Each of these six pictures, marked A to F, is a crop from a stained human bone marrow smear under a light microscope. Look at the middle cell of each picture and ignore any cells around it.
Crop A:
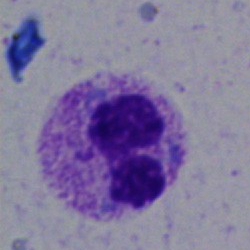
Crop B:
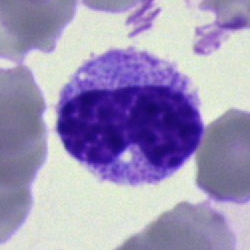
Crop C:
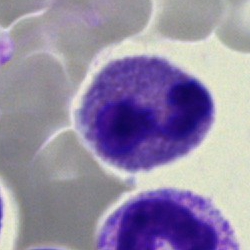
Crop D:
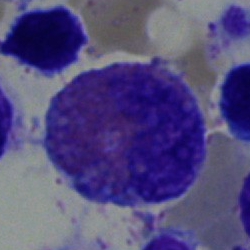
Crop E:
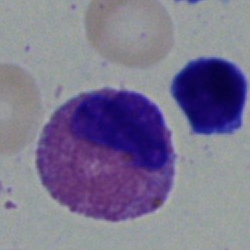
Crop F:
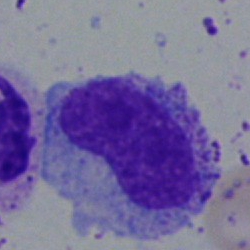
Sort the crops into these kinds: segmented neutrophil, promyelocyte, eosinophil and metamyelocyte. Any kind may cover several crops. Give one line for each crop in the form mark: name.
A: segmented neutrophil
B: metamyelocyte
C: segmented neutrophil
D: eosinophil
E: eosinophil
F: metamyelocyte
